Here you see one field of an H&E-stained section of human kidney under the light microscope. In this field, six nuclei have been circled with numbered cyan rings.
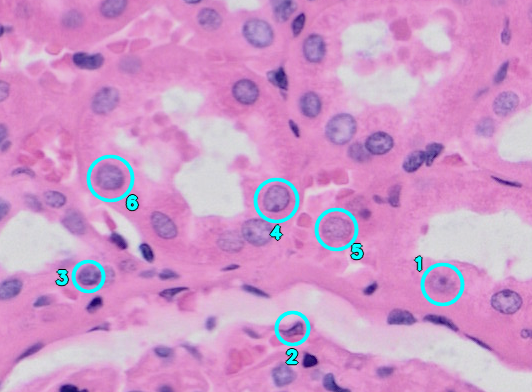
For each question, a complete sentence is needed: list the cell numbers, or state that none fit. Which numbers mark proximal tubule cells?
Cells 1, 4, 5 and 6 are proximal tubule cells by cell type.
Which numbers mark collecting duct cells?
Only cell 3 should be marked as a collecting duct cell.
